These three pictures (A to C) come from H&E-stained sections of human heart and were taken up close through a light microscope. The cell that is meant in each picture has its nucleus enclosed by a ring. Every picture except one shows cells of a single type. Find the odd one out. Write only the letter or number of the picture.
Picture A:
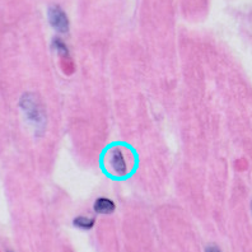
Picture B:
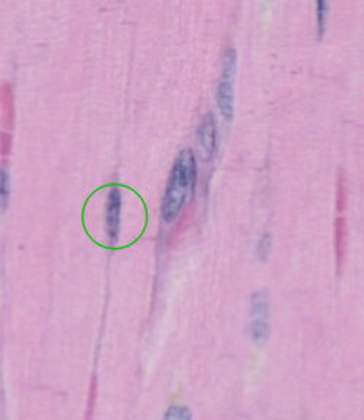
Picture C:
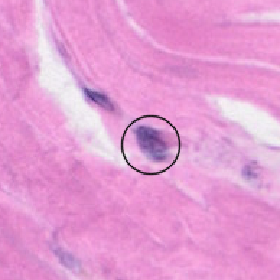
B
